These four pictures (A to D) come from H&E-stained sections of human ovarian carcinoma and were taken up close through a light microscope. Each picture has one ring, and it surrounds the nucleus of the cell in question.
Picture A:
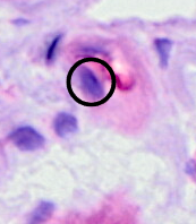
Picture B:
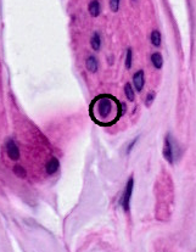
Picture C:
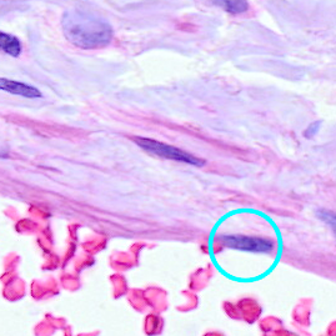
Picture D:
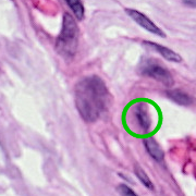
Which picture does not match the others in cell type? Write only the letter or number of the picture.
B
